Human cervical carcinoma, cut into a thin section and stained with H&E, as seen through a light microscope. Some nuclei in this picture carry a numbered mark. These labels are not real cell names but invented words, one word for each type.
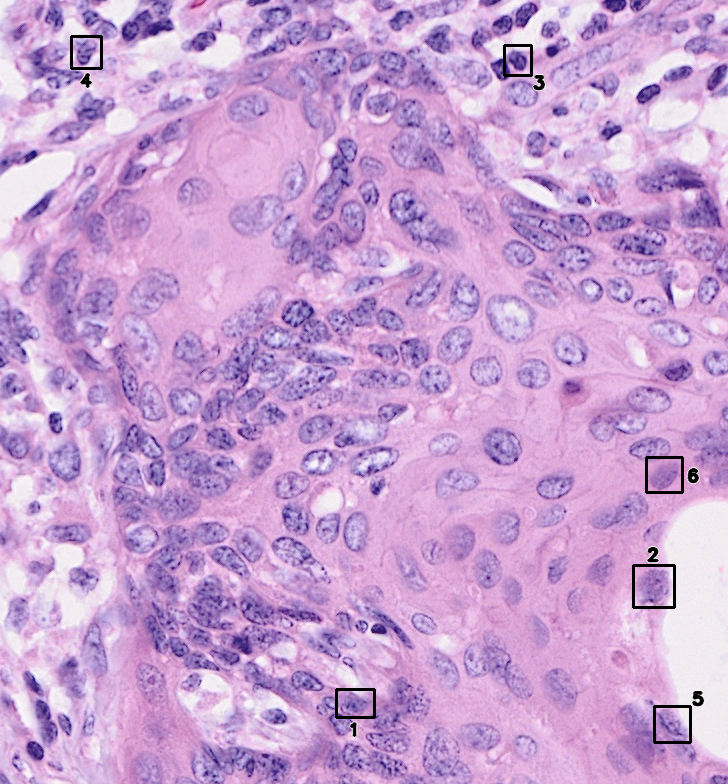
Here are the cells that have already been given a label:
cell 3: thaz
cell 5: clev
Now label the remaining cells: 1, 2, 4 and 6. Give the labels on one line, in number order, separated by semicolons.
clev; clev; thaz; clev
